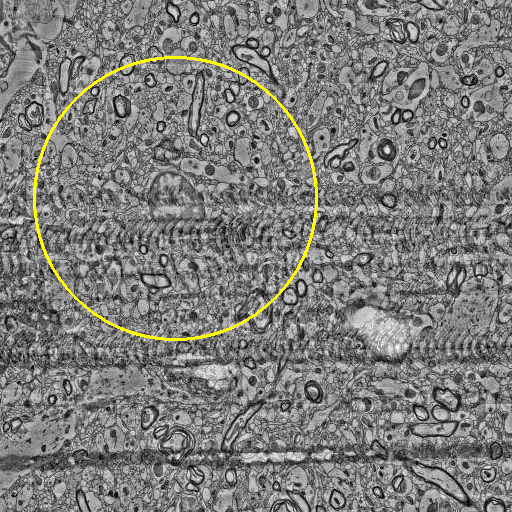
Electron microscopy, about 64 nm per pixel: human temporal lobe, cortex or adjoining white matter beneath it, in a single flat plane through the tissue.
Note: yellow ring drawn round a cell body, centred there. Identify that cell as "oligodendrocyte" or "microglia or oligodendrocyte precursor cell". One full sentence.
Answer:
The cell in the middle of the ring is a microglial cell or oligodendrocyte precursor cell.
